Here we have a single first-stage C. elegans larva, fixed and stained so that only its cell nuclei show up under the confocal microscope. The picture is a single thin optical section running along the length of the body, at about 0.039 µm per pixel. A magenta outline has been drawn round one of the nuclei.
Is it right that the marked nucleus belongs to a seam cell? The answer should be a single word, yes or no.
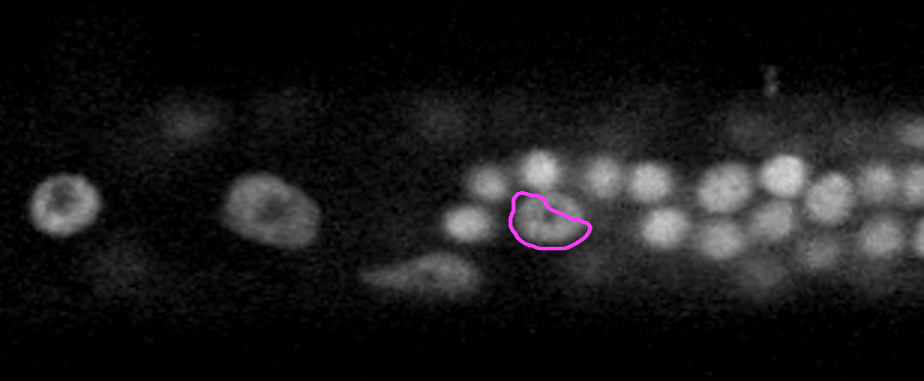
yes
